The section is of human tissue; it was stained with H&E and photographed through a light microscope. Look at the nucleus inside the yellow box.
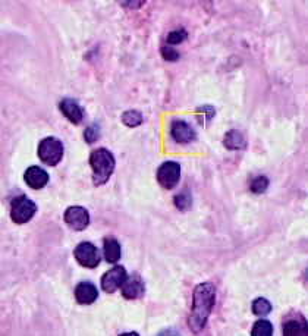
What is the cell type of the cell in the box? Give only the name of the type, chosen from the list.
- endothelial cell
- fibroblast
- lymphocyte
lymphocyte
